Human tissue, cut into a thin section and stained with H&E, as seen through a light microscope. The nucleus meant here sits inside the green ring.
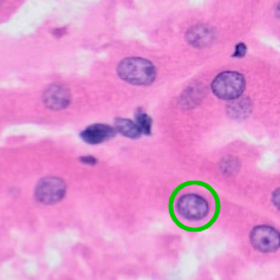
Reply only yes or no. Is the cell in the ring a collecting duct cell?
no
